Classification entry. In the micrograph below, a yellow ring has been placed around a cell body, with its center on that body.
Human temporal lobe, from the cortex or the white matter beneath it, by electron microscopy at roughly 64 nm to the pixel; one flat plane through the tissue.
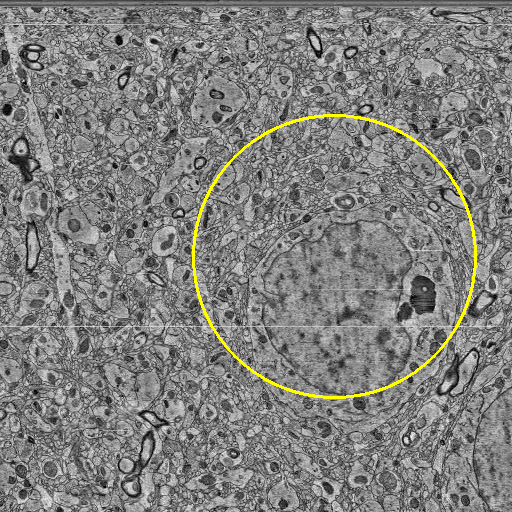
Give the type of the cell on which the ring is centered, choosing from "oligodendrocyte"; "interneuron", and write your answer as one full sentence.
The cell body at the center of the yellow ring belongs to an interneuron.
